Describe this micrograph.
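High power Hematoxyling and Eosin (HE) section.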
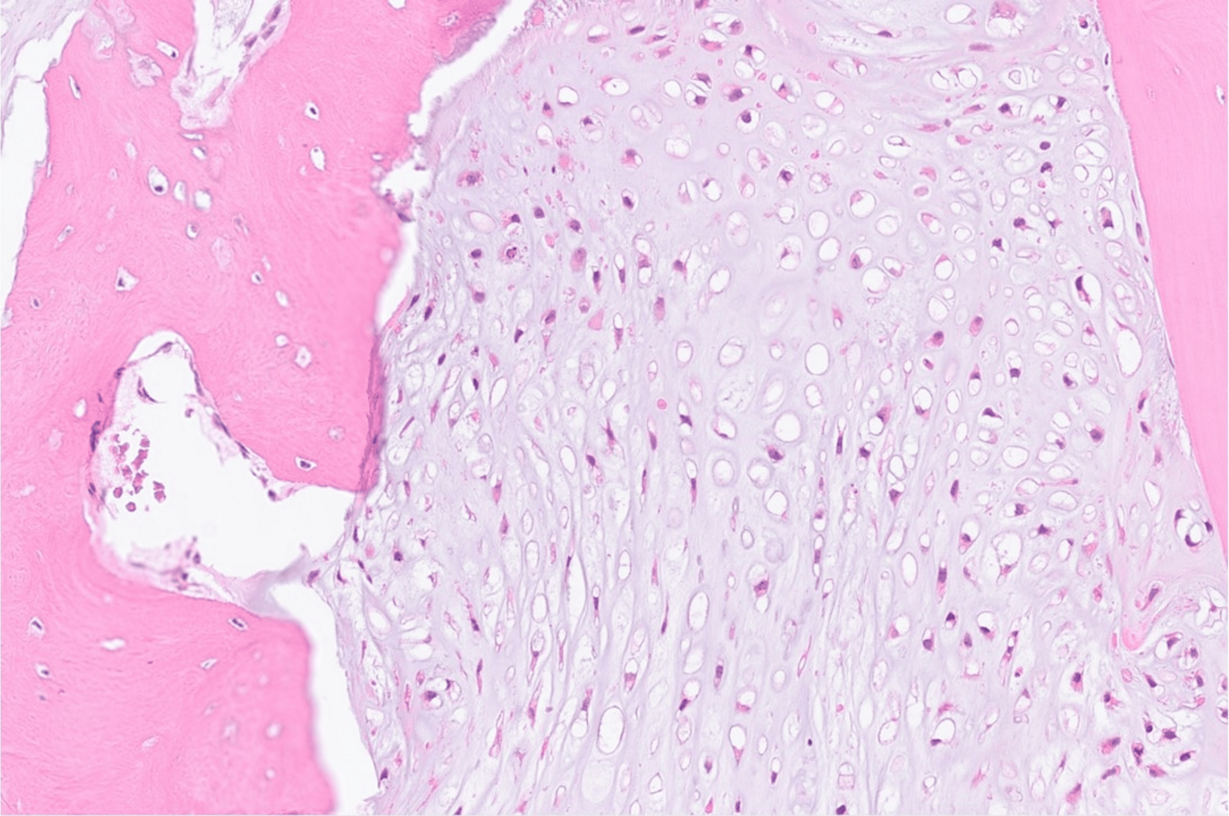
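Cartilaginous tissue of chondrocytes in a pale, faintly bluish myxoid matrix, bordered on the left and at the right edge by dense, bright pink tissue containing scattered small cells in lacunae. The chondrocytes sit singly in clear lacunar spaces of varying size. They are fairly densely spaced. Cell shapes range from round cells in the upper part to more elongated, spindle-shaped cells in the lower middle, where they line up in loose parallel streams. Nuclei are purple, vary in size and shape, some small and dark, others larger and irregular. A space at left contains loose tissue and red blood cells.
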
